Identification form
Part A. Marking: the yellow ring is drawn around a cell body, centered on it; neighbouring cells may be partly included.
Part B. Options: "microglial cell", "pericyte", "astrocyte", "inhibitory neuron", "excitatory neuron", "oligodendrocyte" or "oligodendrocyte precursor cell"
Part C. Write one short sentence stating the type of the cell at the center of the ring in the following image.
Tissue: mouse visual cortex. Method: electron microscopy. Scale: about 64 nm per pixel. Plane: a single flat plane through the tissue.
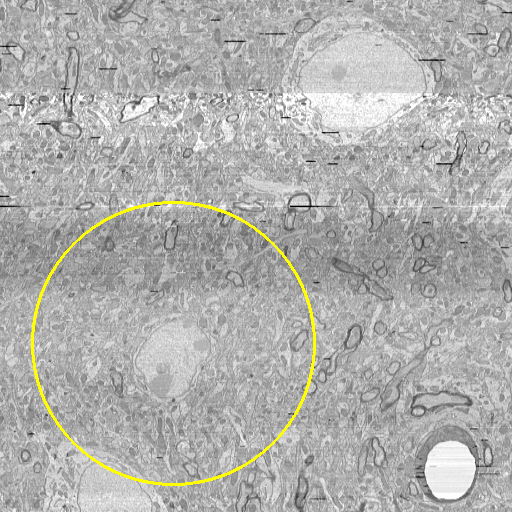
The center of the ring holds an oligodendrocyte precursor cell.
